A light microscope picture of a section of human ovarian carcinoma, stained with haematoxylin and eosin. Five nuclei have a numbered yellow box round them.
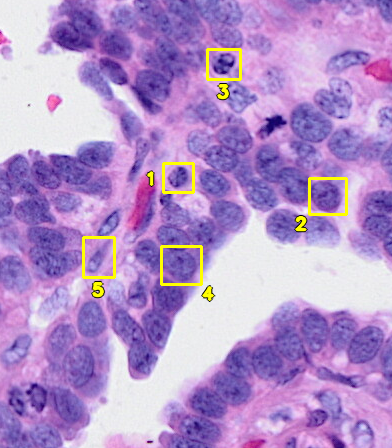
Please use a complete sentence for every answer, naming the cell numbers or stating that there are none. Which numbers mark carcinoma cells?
In short, the numbered cells 2 and 4 are carcinoma cells.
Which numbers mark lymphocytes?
The cells with labels 1 and 3 are lymphocytes.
